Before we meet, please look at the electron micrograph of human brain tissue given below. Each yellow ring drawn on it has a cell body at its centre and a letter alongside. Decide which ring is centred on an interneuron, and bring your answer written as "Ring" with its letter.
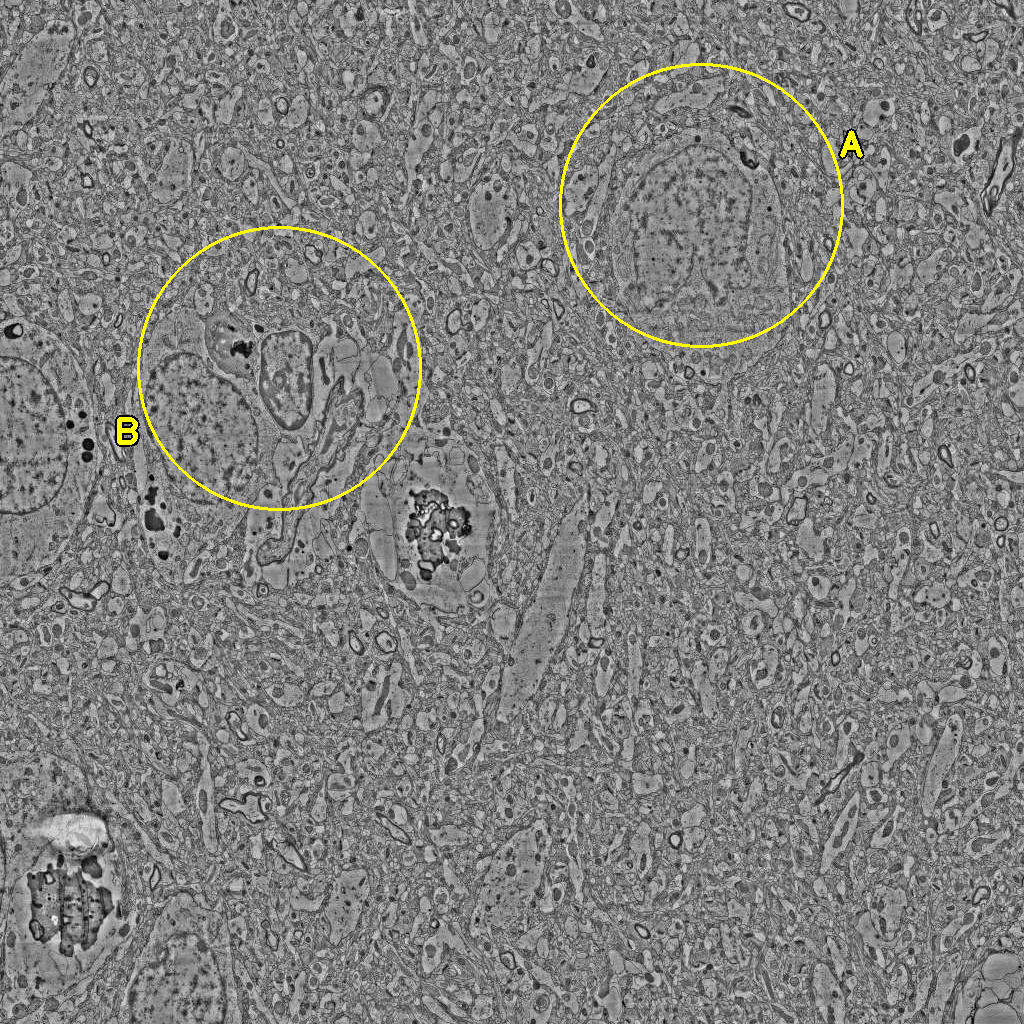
Ring A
